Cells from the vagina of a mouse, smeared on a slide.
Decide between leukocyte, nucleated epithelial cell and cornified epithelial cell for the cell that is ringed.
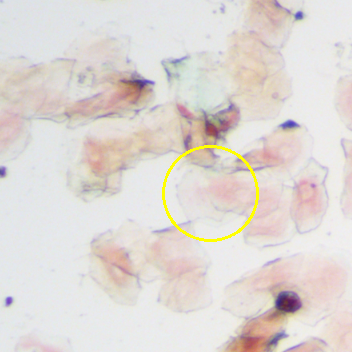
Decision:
I take the ringed cell for a cornified epithelial cell.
